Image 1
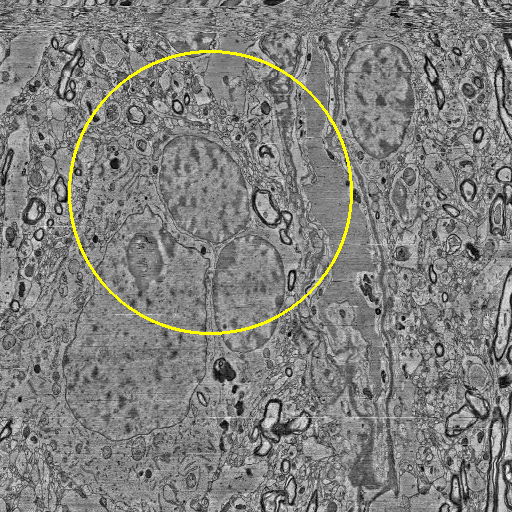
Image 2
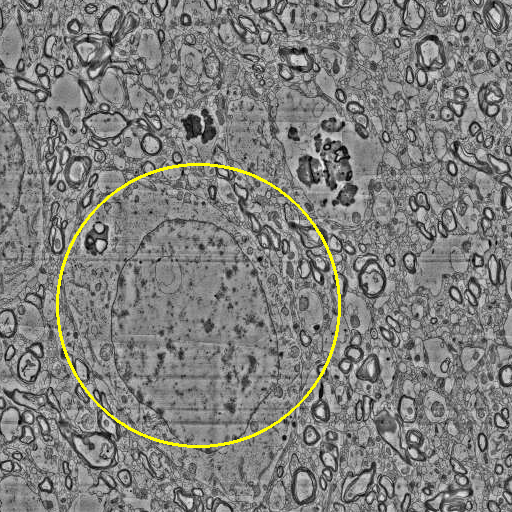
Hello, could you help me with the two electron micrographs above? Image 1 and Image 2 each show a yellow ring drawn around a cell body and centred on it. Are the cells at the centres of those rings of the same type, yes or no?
no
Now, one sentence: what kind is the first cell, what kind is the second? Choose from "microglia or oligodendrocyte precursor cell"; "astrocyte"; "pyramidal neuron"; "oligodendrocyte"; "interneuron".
The first picture has an oligodendrocyte at its ring centre, and the second has a pyramidal neuron.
